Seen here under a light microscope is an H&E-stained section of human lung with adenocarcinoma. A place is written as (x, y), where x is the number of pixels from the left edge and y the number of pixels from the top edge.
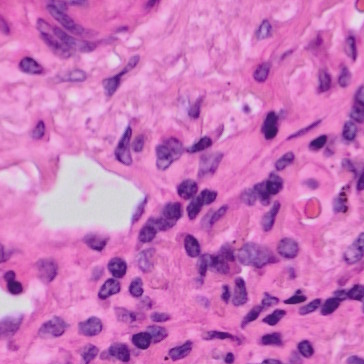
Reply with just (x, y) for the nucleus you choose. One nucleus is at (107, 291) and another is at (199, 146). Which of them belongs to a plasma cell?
(199, 146)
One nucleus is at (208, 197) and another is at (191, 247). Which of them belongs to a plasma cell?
(191, 247)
